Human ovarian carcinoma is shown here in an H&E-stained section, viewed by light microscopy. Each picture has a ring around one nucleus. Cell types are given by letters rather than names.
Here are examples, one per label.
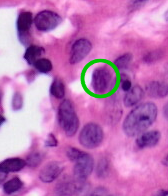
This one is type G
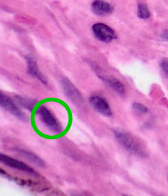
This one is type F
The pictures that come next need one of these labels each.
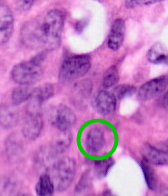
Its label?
type G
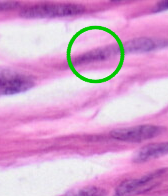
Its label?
type F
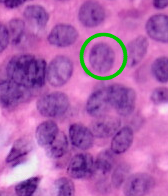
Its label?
type G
